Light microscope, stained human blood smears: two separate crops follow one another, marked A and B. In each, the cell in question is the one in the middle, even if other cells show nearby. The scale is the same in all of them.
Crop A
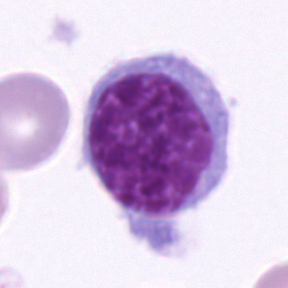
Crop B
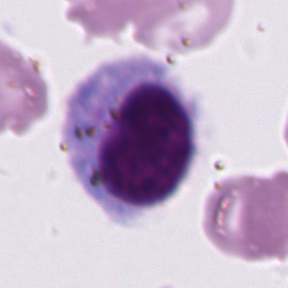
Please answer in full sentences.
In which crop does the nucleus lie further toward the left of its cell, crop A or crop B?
Seen within its cell, the nucleus in crop A lies further toward the left.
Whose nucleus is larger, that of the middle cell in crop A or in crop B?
It is the nucleus in crop A, about 1.5 times as large in area as the one in crop B.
